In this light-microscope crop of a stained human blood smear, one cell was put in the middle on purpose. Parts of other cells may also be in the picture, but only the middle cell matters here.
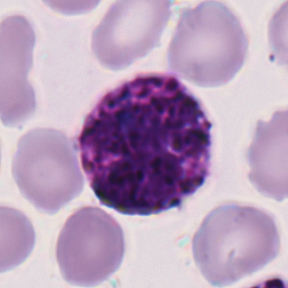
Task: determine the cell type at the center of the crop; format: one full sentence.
This crop has a basophil at its centre.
